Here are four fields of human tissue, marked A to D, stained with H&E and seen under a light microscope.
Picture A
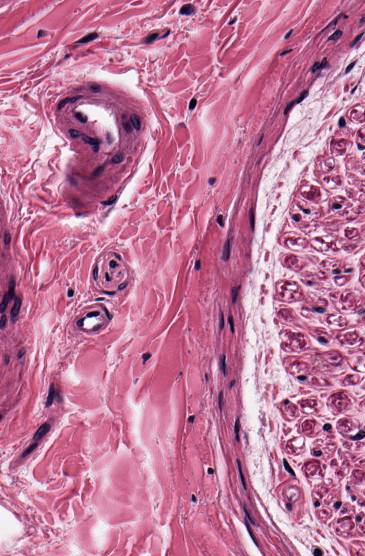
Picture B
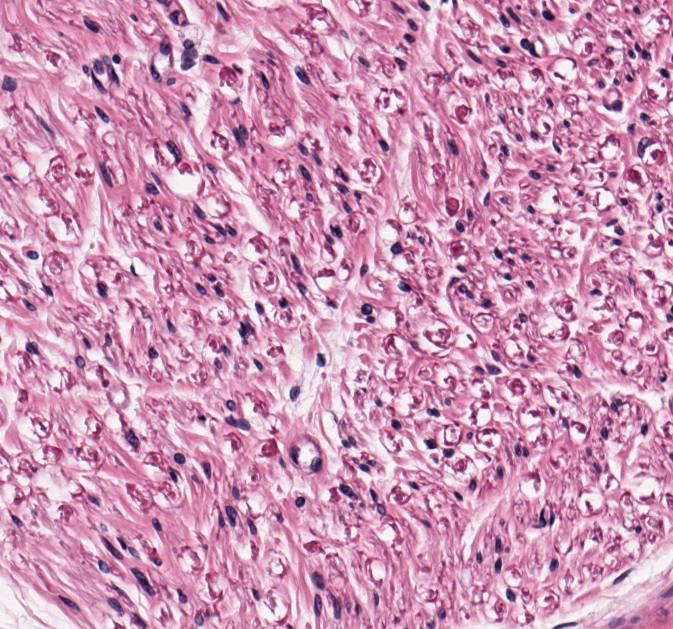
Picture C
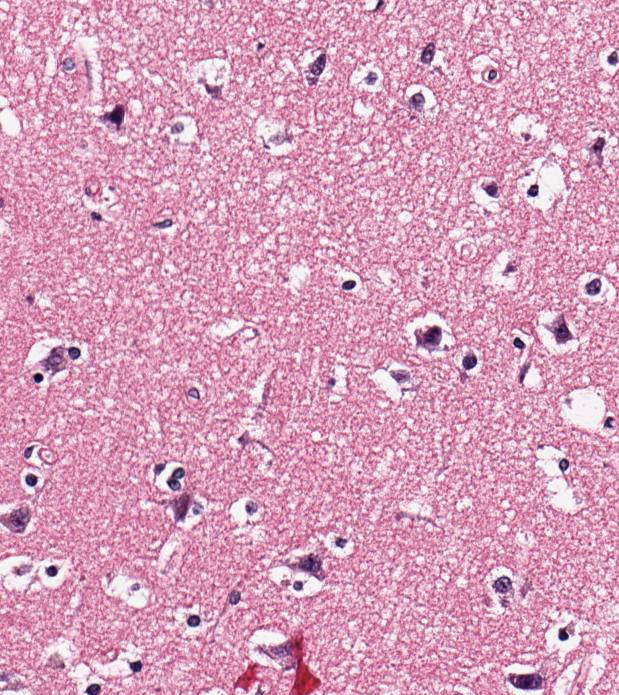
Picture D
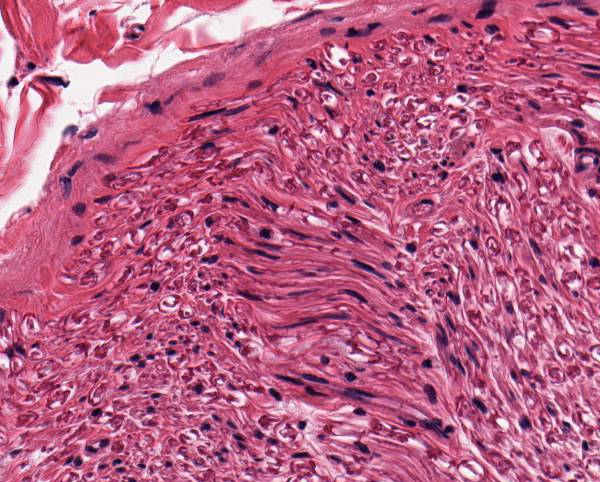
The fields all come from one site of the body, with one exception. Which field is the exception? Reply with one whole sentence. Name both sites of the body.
Picture C is the odd one out: it comes from the cerebral cortex, while the others come from the tibial nerve.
